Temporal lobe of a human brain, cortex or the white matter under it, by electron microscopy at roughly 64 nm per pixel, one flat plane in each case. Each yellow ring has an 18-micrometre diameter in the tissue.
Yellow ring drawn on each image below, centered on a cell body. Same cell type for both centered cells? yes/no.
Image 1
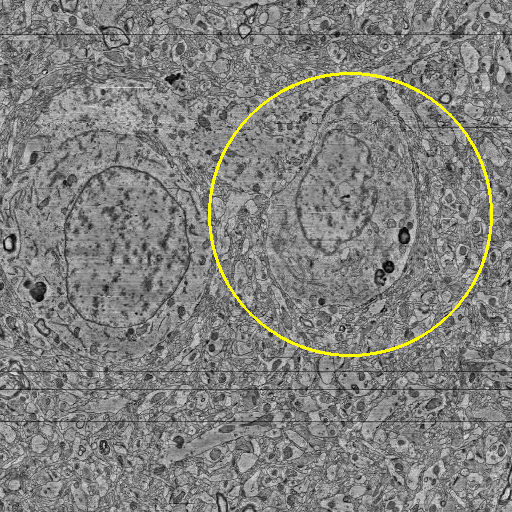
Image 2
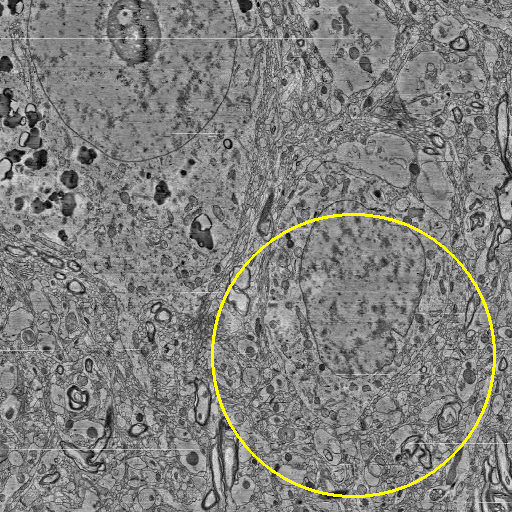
yes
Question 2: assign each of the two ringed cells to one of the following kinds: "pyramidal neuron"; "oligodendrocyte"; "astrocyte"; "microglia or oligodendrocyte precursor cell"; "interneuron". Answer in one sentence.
The cell at the ring centre is an interneuron in both pictures.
